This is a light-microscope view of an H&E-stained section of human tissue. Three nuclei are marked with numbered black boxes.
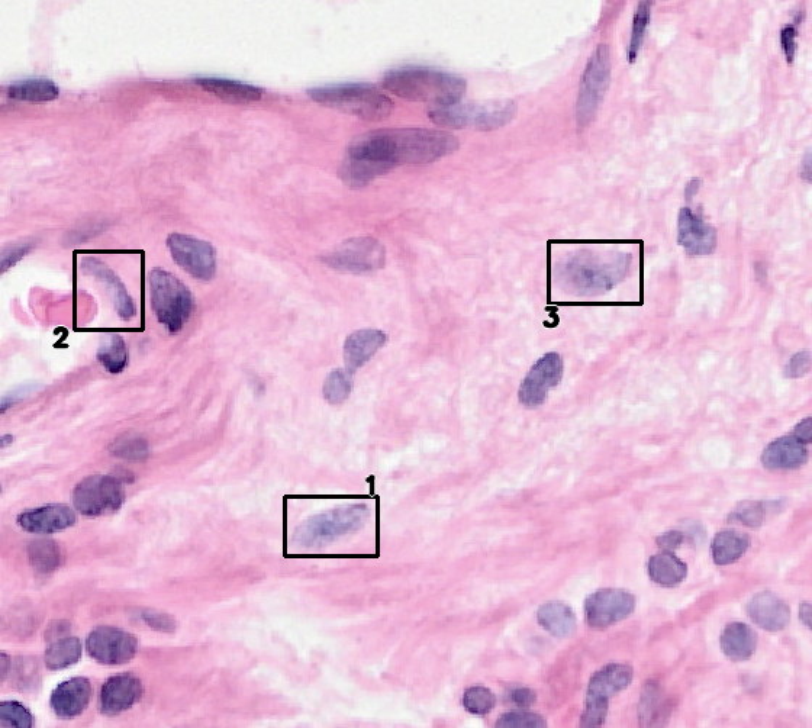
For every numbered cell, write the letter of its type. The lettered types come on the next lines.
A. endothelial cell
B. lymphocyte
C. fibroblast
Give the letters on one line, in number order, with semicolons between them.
C; A; C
